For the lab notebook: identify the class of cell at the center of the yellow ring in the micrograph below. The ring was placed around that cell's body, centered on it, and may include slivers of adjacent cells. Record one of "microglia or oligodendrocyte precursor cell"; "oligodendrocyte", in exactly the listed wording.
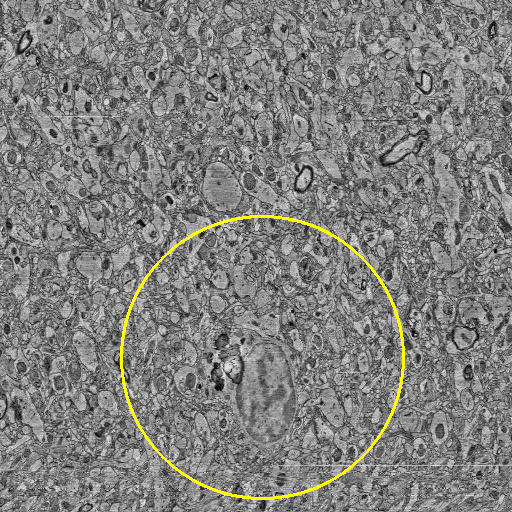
oligodendrocyte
